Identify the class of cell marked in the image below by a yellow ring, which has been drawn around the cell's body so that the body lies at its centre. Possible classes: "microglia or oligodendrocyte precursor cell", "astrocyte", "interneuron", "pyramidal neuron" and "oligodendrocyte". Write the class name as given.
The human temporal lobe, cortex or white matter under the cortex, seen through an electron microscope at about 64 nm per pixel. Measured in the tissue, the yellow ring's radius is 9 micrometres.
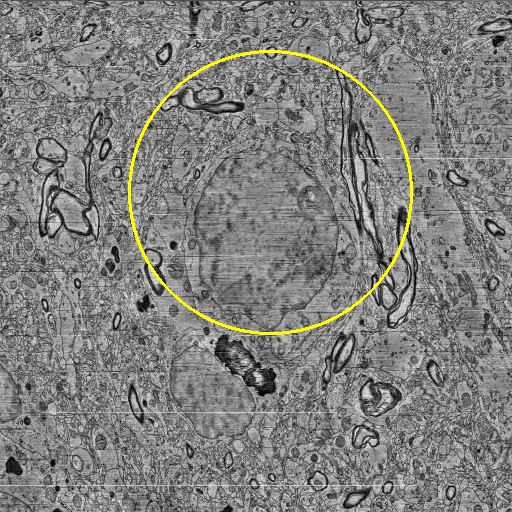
interneuron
